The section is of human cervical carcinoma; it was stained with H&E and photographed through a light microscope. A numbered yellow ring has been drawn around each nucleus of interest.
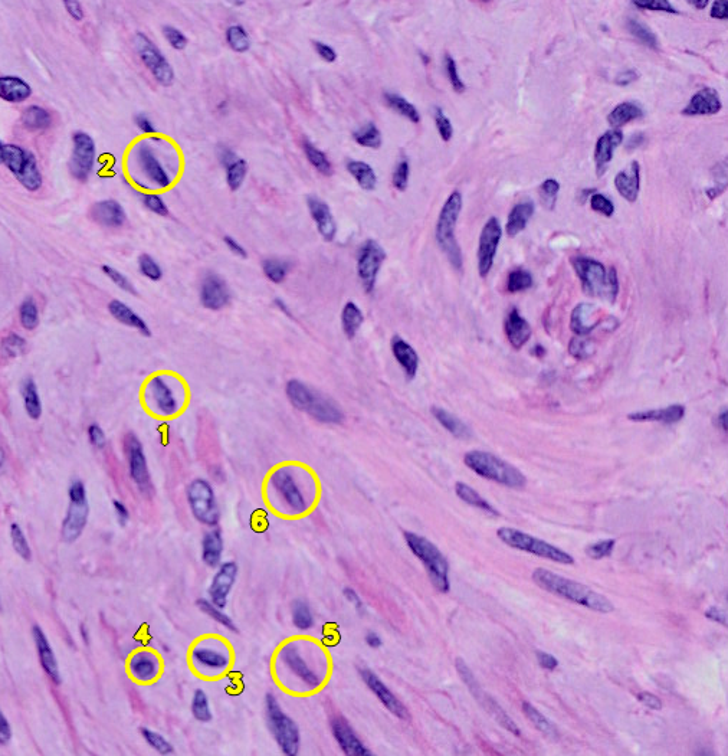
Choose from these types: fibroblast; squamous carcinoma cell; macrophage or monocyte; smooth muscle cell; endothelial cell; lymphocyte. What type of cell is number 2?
fibroblast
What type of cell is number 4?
smooth muscle cell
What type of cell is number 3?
fibroblast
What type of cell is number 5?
smooth muscle cell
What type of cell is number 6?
smooth muscle cell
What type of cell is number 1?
fibroblast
